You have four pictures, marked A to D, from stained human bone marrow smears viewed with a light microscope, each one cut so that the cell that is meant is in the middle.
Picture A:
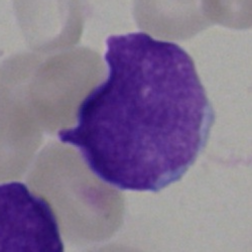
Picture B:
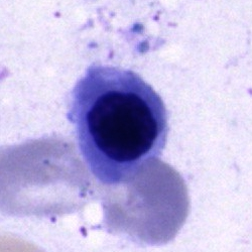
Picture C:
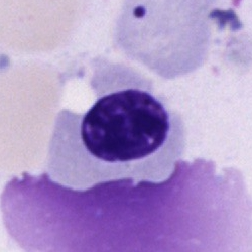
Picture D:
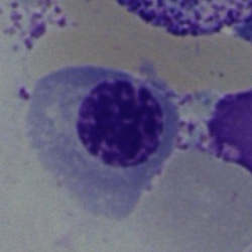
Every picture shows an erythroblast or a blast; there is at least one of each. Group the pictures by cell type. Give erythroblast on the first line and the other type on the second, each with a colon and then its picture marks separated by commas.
erythroblast: B, C, D
blast: A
